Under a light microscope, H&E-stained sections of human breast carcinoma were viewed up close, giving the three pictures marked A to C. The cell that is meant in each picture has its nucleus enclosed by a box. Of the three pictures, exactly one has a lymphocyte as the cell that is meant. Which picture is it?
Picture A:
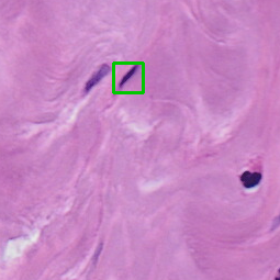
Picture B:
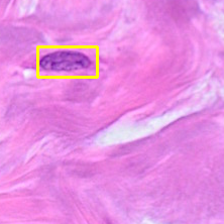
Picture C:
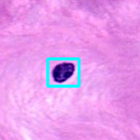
C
